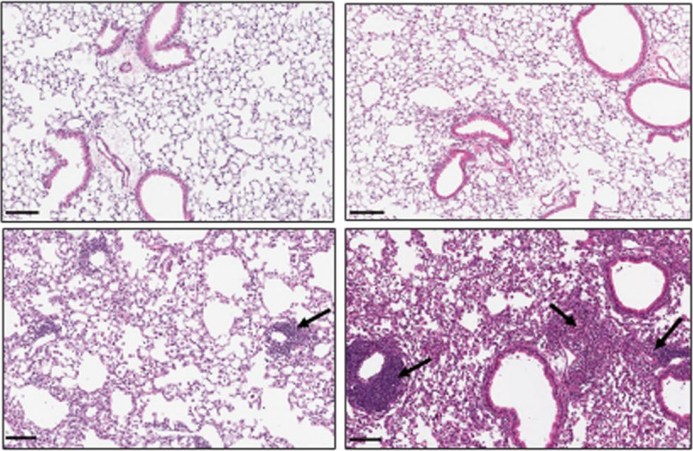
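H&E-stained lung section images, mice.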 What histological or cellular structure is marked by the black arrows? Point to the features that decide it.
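The arrows point to dense dark purple clusters of small round nuclei. The clusters sit around airways and vessels in the lung tissue. The clusters appear only in the lower two images.
Answer: ectopic lymphoid aggregates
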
